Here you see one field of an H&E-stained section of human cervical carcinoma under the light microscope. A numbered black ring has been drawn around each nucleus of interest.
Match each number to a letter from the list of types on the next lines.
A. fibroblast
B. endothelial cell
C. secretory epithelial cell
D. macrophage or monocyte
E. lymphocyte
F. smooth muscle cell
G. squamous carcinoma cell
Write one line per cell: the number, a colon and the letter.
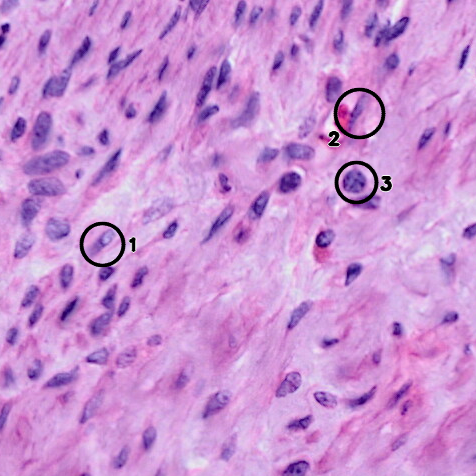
1: F
2: B
3: E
